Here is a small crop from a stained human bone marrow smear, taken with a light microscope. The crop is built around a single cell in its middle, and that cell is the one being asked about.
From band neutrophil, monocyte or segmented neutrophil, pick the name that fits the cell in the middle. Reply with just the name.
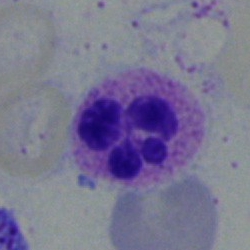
segmented neutrophil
